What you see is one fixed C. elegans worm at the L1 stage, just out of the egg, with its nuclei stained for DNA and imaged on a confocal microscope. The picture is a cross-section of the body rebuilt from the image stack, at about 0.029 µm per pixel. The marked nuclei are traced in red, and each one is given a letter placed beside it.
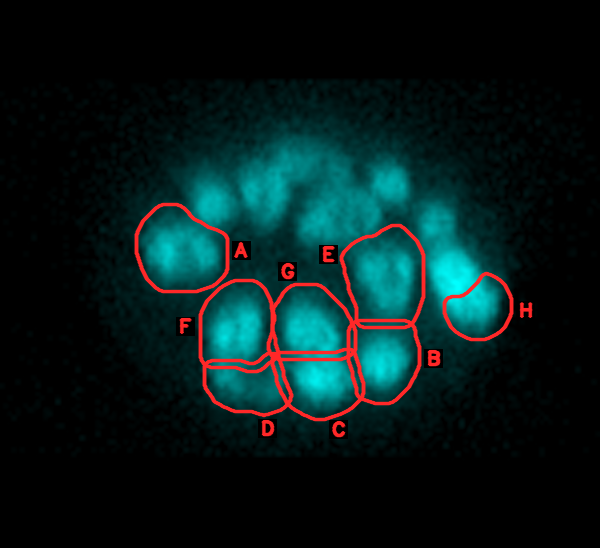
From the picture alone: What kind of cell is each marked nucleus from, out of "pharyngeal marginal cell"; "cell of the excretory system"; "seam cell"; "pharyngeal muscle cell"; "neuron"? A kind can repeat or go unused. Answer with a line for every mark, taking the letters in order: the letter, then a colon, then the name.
A: pharyngeal muscle cell
B: cell of the excretory system
C: neuron
D: seam cell
E: pharyngeal marginal cell
F: pharyngeal marginal cell
G: pharyngeal muscle cell
H: neuron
